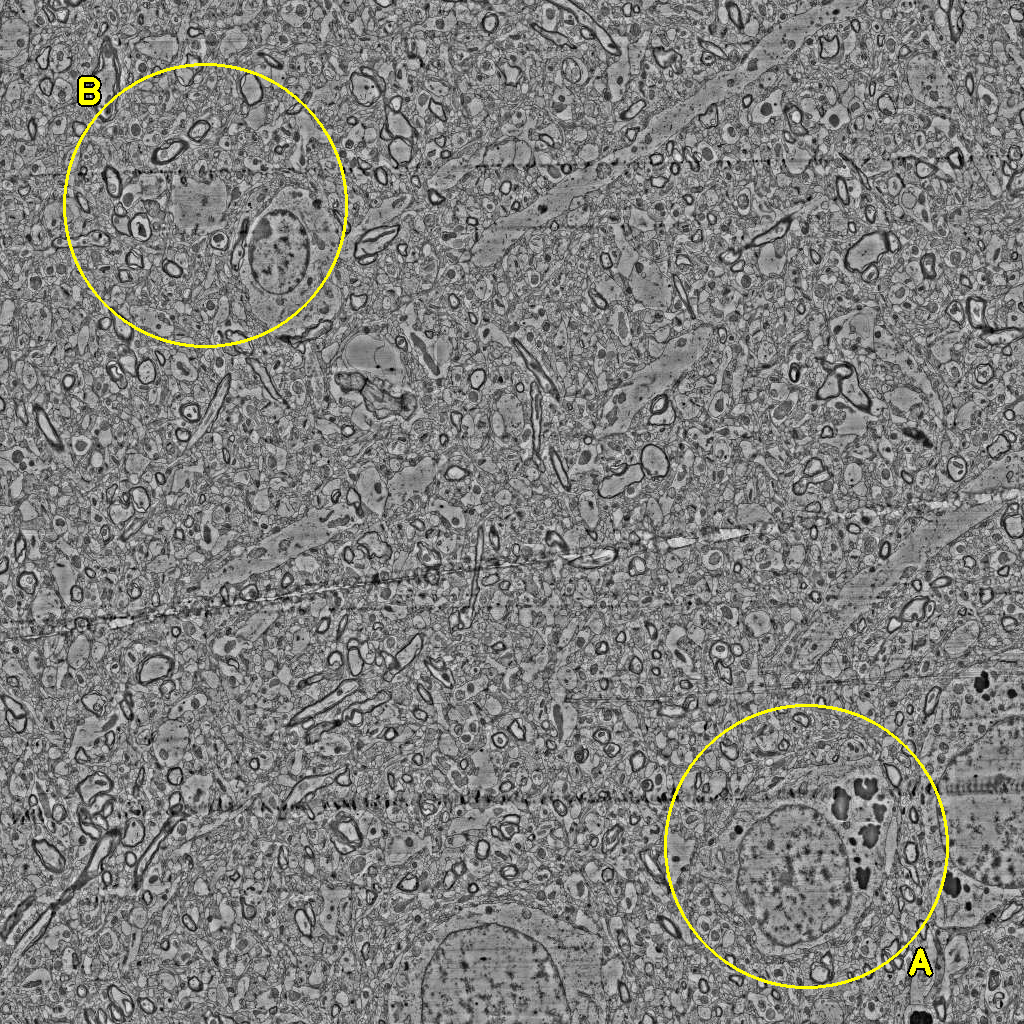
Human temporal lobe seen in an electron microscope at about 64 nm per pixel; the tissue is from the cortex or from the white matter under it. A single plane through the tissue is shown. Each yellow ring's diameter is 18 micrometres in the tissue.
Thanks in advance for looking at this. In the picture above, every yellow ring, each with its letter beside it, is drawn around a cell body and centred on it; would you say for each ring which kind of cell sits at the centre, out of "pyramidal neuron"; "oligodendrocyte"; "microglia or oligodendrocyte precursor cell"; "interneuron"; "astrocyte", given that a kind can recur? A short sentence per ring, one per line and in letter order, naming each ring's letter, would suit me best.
The cell body in ring A belongs to an interneuron.
The cell body in ring B belongs to a microglial cell or oligodendrocyte precursor cell.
